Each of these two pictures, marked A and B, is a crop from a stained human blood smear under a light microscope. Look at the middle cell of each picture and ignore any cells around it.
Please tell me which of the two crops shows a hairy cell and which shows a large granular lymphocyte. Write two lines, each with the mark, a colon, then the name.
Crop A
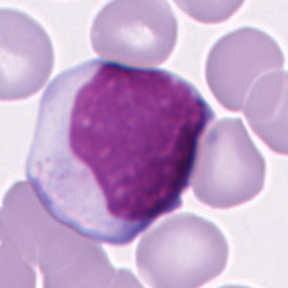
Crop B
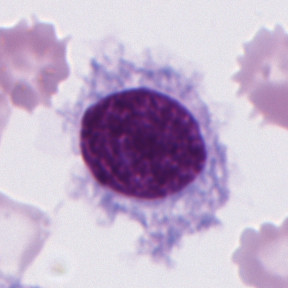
A: large granular lymphocyte
B: hairy cell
